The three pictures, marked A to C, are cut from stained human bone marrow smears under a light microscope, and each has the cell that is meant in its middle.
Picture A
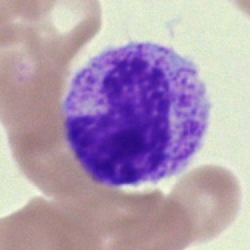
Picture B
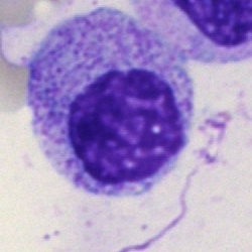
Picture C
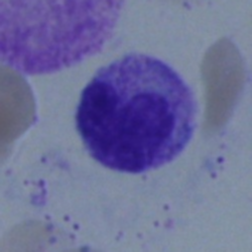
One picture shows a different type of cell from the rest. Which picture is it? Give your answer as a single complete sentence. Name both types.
The others show metamyelocytes, but picture B shows a myelocyte.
